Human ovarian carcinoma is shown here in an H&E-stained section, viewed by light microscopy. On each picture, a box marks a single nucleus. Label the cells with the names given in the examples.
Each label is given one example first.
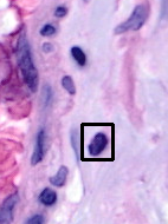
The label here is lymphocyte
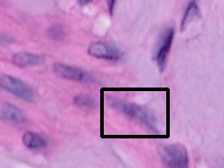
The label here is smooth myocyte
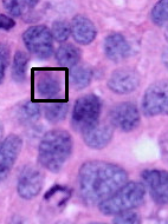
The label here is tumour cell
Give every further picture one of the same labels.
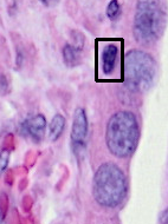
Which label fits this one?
lymphocyte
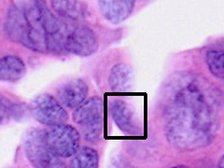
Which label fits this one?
tumour cell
